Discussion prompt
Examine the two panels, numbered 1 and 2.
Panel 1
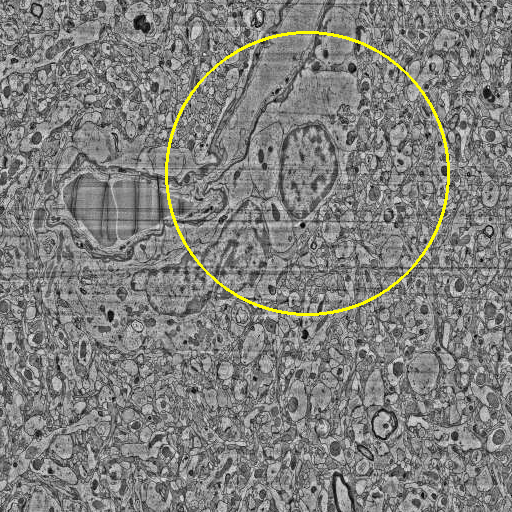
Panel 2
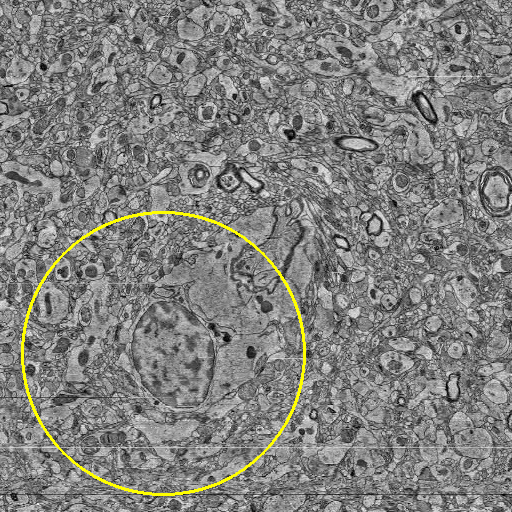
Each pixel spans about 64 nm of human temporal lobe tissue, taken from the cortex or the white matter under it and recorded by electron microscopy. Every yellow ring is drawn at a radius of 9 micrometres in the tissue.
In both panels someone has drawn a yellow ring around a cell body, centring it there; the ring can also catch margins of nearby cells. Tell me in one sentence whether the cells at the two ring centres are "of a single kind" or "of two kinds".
Taken together, the two cells centred in the rings of Panels 1 and 2 are of a single kind.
